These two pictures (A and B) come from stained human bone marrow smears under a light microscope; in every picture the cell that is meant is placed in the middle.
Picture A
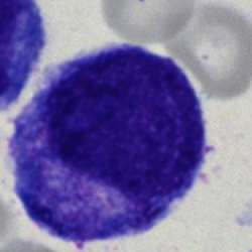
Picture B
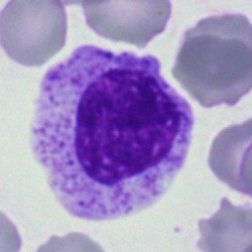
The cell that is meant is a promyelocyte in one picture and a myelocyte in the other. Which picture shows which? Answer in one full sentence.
Picture B shows a myelocyte, while picture A shows a promyelocyte.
